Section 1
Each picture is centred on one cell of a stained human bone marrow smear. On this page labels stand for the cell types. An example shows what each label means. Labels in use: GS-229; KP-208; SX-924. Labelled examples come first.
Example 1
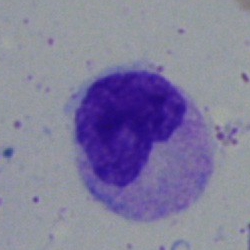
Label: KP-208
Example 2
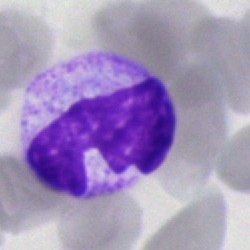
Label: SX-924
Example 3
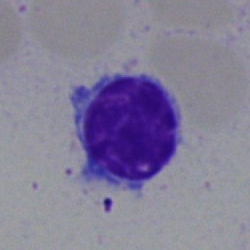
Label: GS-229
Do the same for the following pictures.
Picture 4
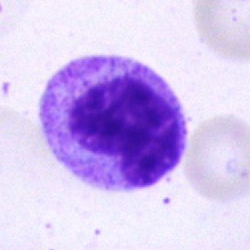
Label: KP-208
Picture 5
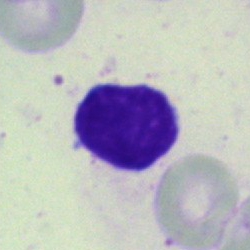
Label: GS-229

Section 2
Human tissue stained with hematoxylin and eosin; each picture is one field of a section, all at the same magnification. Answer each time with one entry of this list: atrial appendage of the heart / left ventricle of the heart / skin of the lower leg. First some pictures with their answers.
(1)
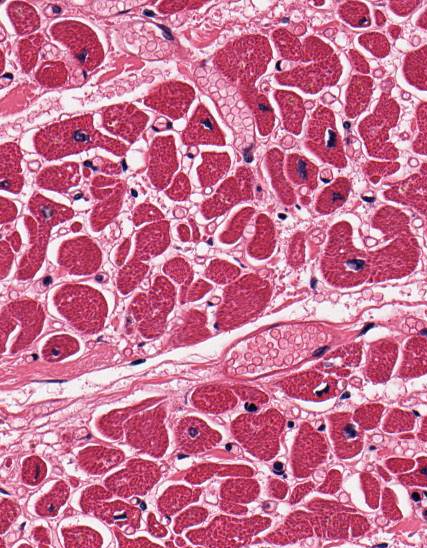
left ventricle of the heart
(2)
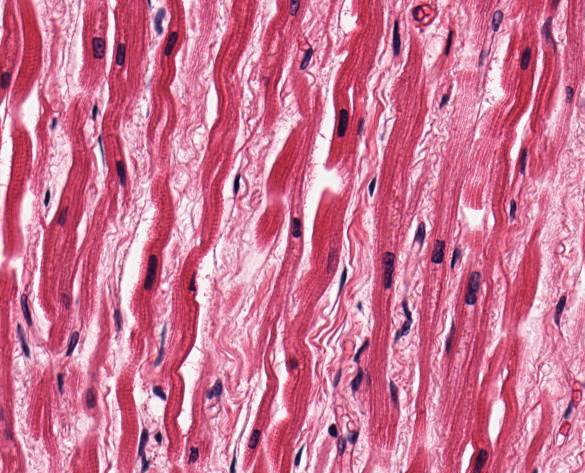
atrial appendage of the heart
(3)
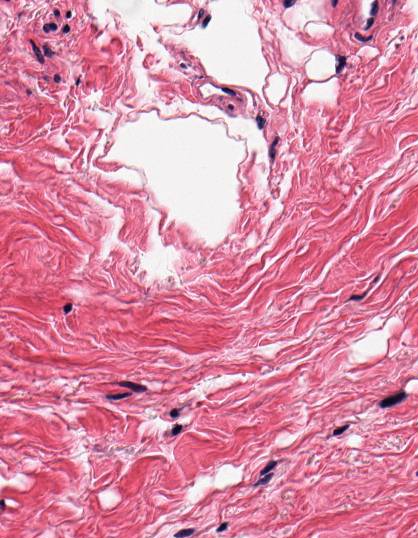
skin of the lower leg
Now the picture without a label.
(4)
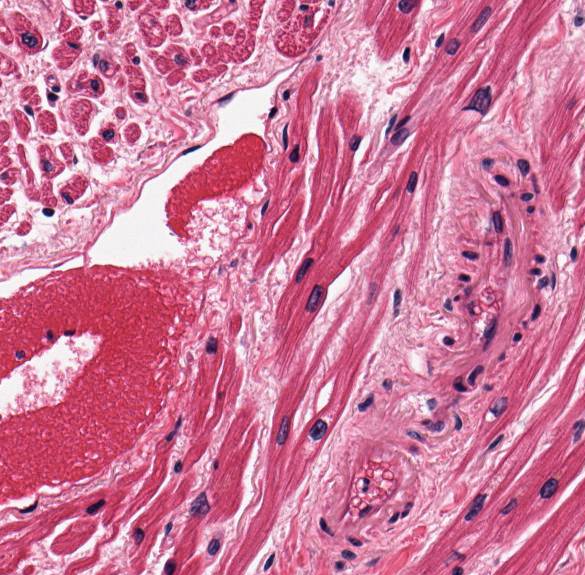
atrial appendage of the heart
